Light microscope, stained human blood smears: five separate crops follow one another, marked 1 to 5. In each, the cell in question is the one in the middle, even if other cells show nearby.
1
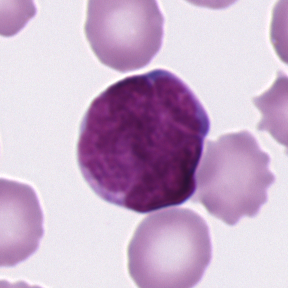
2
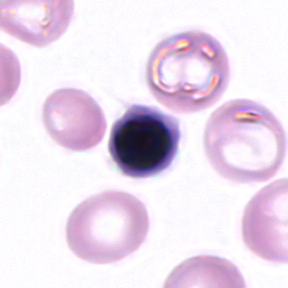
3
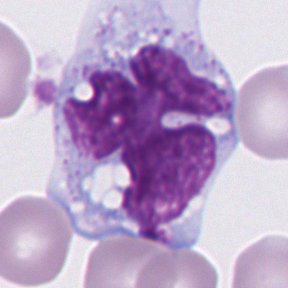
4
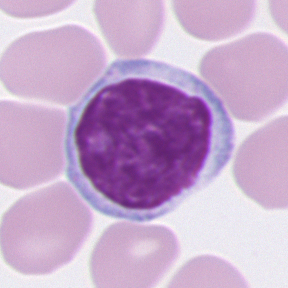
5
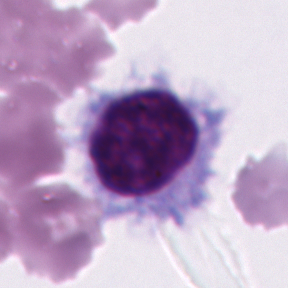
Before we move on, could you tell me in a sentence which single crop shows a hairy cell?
Crop 5 is the one in this set that shows a hairy cell.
